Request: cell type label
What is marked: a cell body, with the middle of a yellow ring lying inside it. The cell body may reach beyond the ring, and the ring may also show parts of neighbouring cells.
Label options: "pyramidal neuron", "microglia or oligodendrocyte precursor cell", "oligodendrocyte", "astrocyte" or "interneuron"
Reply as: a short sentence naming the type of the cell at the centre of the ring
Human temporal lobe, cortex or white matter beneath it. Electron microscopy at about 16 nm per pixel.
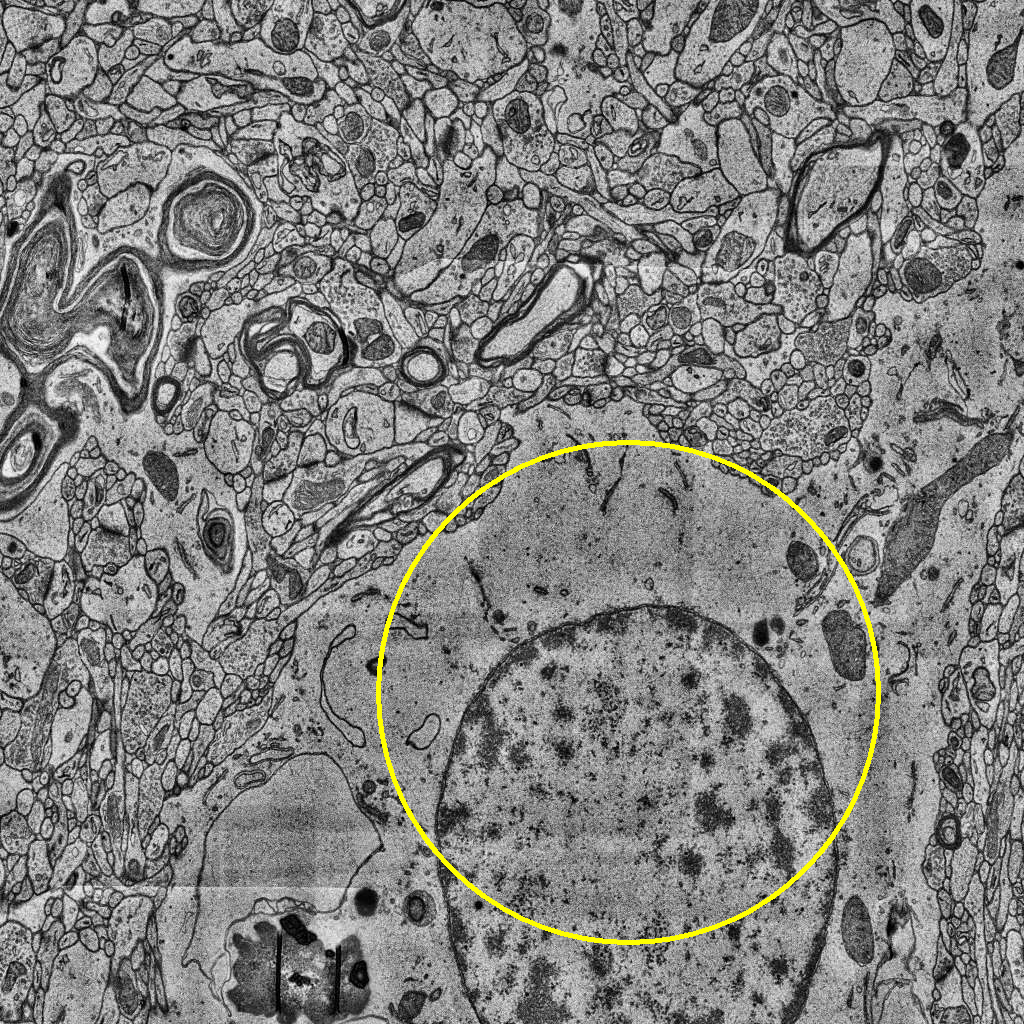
The marked cell body is that of an astrocyte.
